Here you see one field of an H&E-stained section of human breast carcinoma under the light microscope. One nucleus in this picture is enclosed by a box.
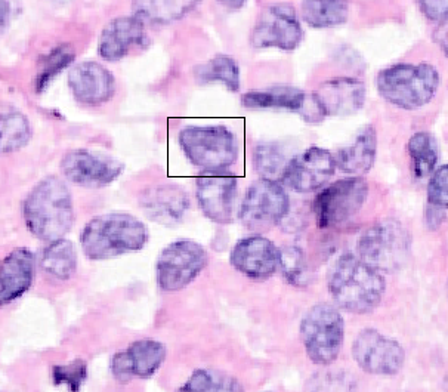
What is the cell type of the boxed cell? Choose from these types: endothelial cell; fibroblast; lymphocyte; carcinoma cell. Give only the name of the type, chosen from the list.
carcinoma cell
